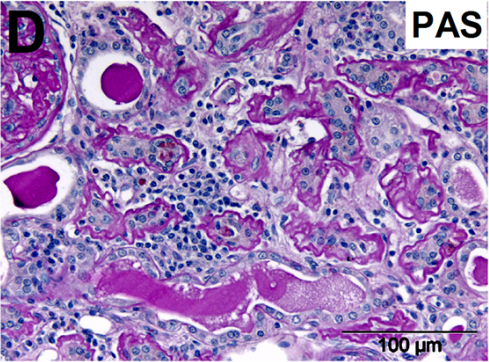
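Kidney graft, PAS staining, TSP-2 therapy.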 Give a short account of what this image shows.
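Renal cortex in which the interstitium between tubules is crowded with many small, dark, round nuclei, while several tubules are shrunken and distorted with thick, wavy magenta basement membranes. Some tubule lumens are filled with bright, homogeneous magenta casts. Together these are tubulointerstitial changes with interstitial cell infiltration and damaged tubules.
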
